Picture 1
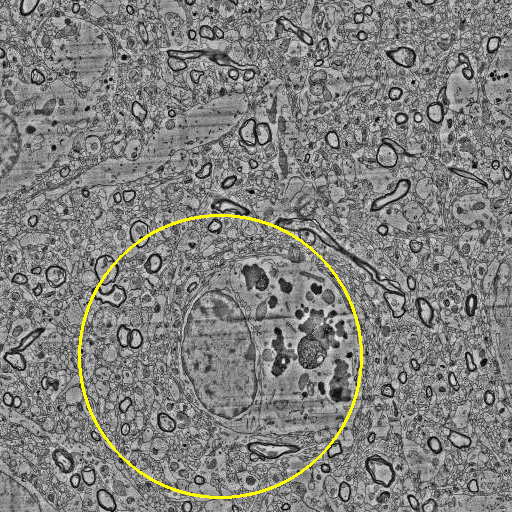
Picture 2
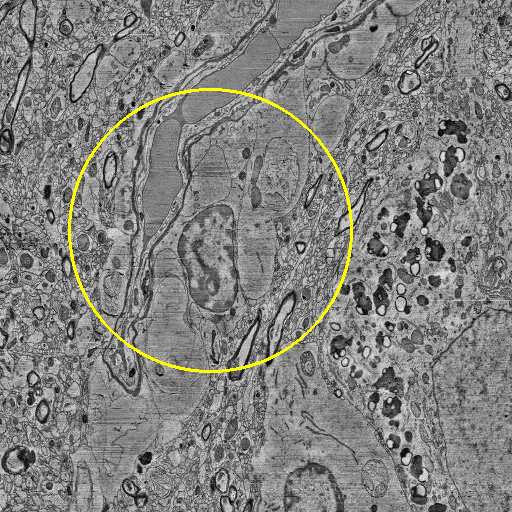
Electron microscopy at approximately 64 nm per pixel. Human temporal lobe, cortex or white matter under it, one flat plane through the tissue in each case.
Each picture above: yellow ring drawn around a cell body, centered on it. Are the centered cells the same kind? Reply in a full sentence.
Yes, the two cells are the same kind.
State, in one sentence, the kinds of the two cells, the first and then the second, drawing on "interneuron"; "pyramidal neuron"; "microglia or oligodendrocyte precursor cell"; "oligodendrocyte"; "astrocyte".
Each of the ringed cells, first and second, is a microglial cell or oligodendrocyte precursor cell.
